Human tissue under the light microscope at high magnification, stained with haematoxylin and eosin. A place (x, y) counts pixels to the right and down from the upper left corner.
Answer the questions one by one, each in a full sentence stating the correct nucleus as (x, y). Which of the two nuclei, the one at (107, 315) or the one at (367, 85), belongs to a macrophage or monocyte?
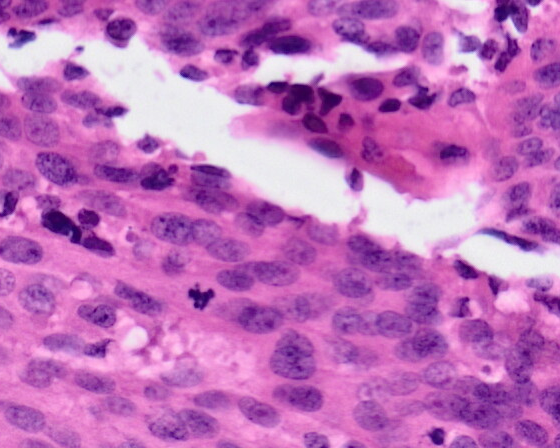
The nucleus that belongs to a macrophage or monocyte is located at (107, 315).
